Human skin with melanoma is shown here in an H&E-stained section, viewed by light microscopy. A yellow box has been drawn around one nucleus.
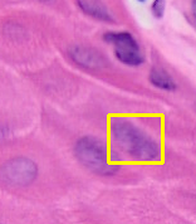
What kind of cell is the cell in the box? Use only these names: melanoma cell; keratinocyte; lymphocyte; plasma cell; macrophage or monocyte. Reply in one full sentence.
The cell in the box appears to be a keratinocyte.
